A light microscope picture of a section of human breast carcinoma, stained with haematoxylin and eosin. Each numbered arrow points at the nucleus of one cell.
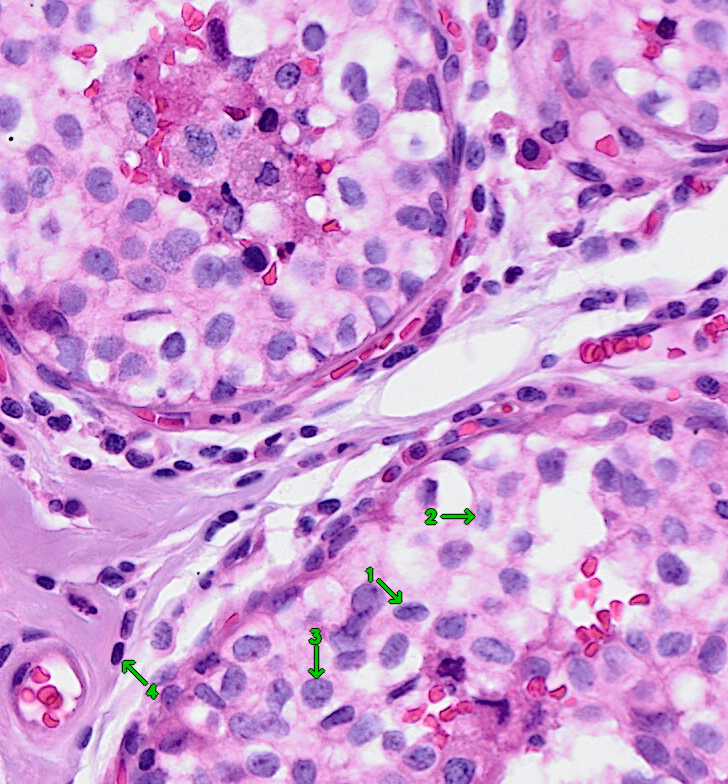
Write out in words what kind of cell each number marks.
Cells 1, 2 and 3 are carcinoma cells. Cell 4 is a lymphocyte.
